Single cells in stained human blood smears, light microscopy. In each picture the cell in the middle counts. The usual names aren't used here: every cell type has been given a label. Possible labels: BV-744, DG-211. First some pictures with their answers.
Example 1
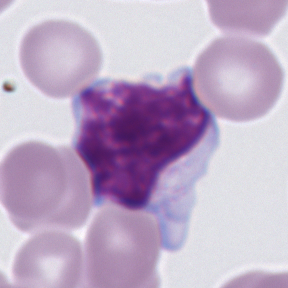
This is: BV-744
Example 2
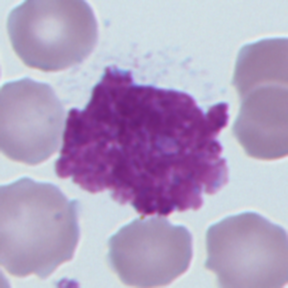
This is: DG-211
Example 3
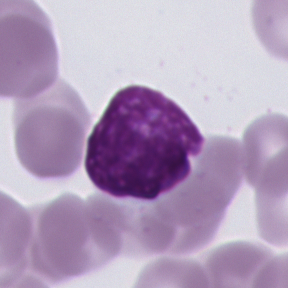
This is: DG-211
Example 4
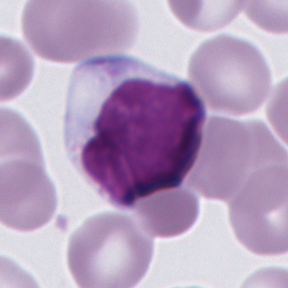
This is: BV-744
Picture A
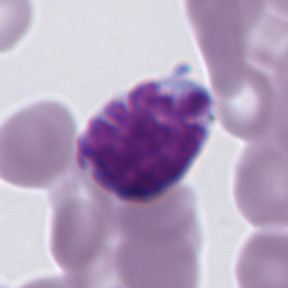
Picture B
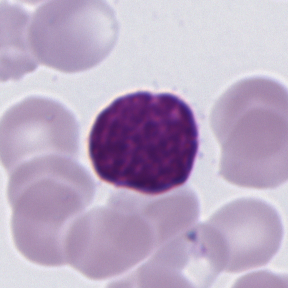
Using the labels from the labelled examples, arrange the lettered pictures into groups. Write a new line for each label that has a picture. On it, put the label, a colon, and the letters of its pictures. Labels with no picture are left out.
BV-744: A
DG-211: B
